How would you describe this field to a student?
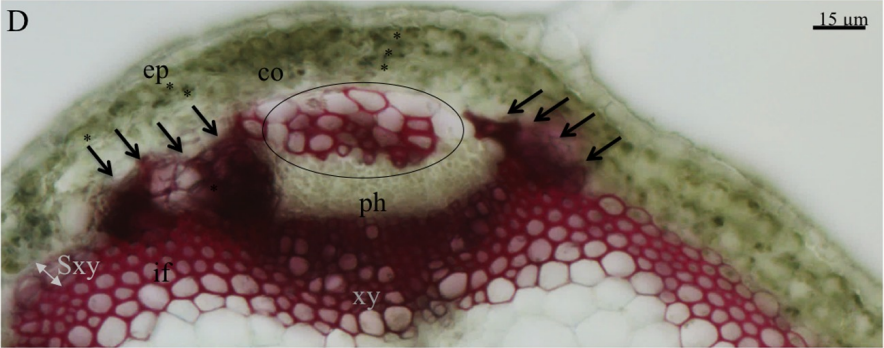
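The outer part of a stem cross section shows a green-tinted epidermis and several layers of cortex cells over a broad band of red-walled, thick-walled cells of the xylem and interfascicular fibres. Toward the centre the xylem cells widen into large, pale, thin-walled cells.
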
